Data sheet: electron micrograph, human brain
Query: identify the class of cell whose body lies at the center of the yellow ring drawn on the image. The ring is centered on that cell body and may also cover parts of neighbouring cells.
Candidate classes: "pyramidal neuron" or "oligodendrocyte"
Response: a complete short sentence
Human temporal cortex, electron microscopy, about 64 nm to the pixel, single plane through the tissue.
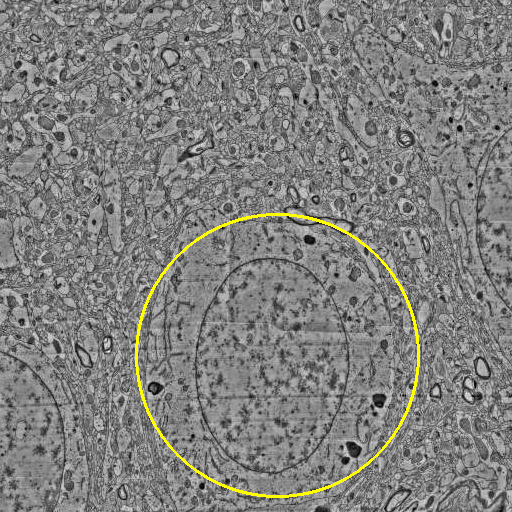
At the center of the ring lies a pyramidal neuron.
